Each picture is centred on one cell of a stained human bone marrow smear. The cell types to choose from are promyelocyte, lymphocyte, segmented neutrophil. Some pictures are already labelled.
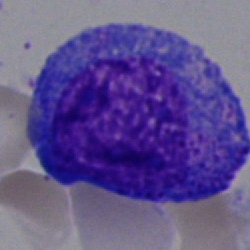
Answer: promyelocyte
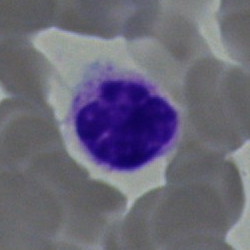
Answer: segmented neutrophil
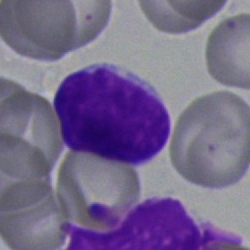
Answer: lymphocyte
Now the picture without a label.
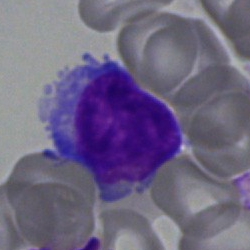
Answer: lymphocyte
